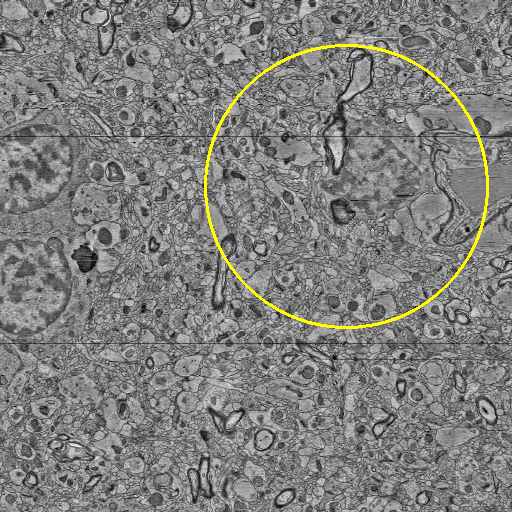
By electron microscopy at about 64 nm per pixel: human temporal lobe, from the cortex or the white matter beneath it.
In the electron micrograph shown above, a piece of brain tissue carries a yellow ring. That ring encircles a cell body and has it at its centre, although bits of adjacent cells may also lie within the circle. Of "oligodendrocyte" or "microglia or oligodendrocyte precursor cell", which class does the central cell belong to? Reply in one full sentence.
The cell body at the centre of the yellow ring belongs to an oligodendrocyte.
